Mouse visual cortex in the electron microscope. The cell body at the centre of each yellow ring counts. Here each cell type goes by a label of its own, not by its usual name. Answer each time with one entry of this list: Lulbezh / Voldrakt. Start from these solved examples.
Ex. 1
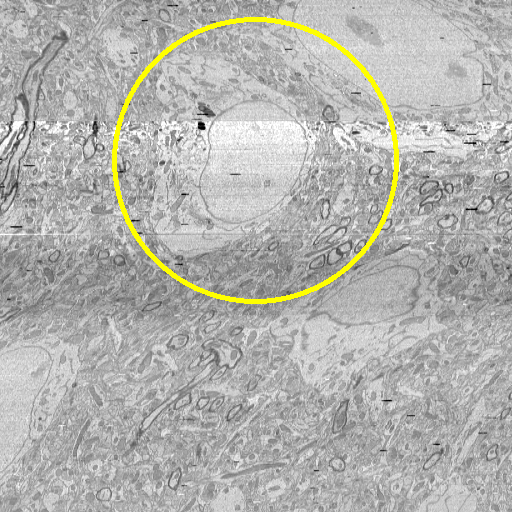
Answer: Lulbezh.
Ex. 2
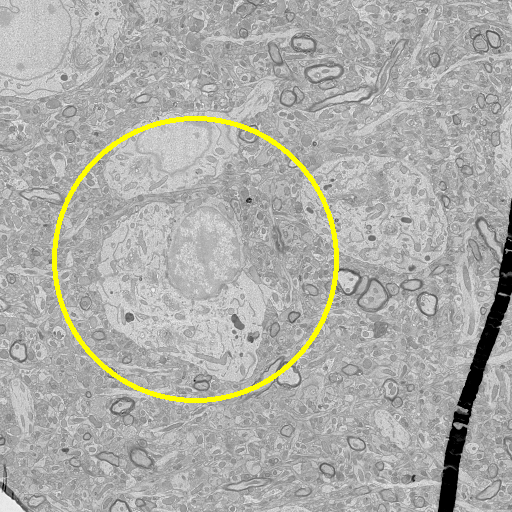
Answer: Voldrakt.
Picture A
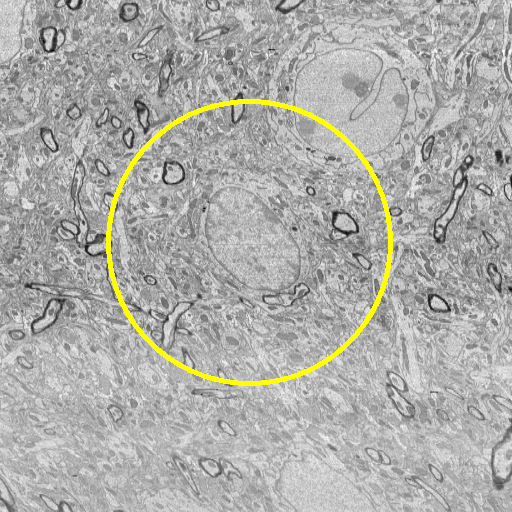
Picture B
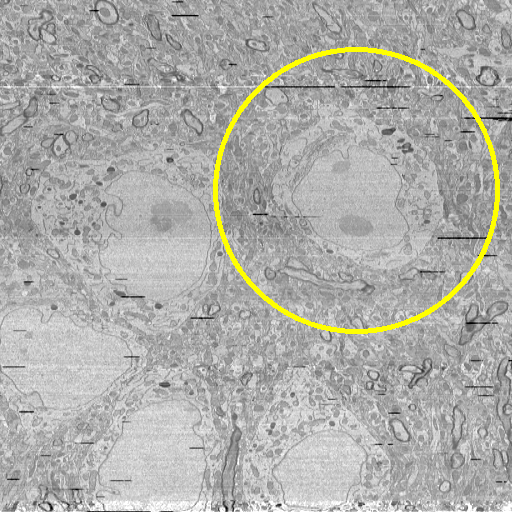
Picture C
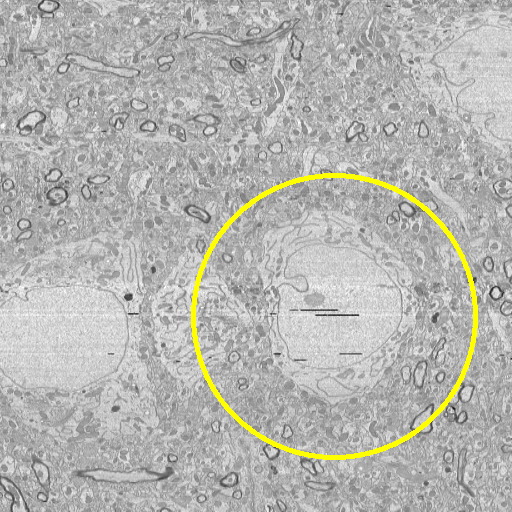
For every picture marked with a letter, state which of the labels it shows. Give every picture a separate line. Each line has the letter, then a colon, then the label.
A: Voldrakt.
B: Lulbezh.
C: Lulbezh.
